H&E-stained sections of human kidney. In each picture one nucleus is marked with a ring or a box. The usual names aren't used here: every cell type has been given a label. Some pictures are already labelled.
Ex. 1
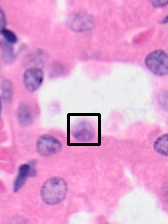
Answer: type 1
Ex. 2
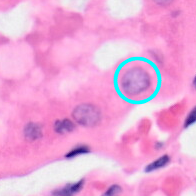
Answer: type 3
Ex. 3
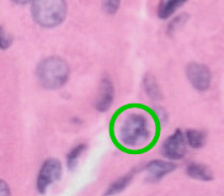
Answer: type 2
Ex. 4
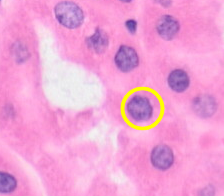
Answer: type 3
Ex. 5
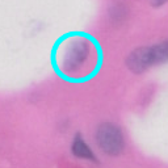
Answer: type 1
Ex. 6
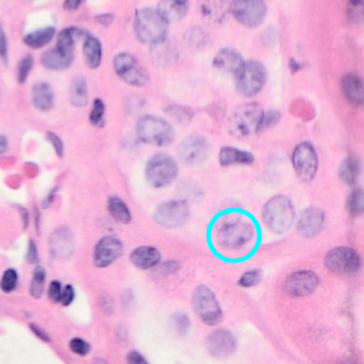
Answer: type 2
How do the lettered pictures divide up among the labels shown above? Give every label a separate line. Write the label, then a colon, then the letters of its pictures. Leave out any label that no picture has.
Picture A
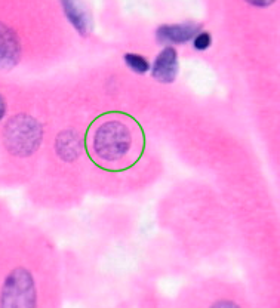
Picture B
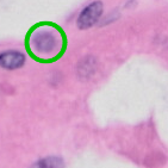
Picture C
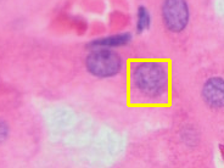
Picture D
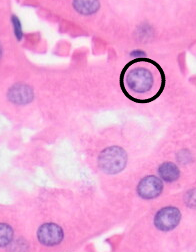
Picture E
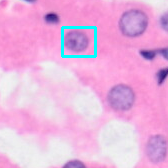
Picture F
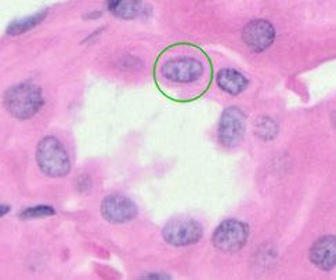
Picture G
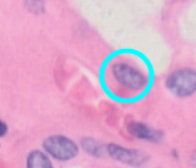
type 1: G
type 3: A, C, D, E
type 2: B, F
